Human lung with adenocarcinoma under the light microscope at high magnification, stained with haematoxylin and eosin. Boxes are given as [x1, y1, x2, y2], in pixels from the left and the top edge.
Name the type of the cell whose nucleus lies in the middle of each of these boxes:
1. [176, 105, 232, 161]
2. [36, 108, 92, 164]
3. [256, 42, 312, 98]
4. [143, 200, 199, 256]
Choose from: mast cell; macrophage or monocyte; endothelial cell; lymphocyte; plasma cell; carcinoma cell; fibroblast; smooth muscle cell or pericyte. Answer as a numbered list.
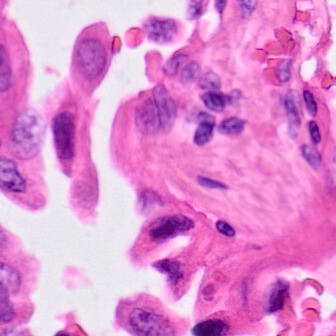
1. lymphocyte
2. carcinoma cell
3. endothelial cell
4. carcinoma cell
